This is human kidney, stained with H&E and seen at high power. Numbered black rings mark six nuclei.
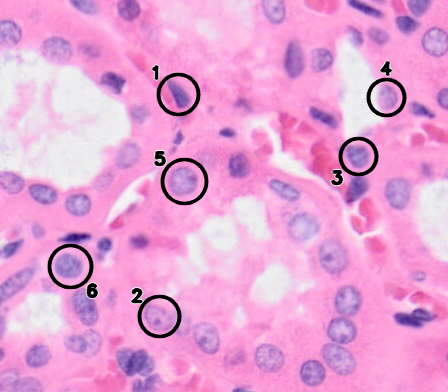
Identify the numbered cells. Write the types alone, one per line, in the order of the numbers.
endothelial cell
proximal tubule cell
loop of Henle or distal tubule cell
loop of Henle or distal tubule cell
proximal tubule cell
collecting duct cell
